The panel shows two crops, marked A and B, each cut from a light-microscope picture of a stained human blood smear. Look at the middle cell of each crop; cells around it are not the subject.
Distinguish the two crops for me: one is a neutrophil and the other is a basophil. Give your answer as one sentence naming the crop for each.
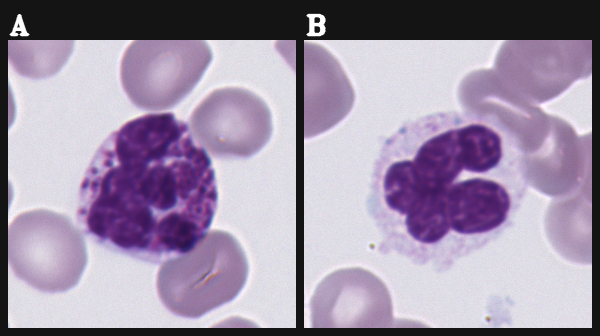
Crop A presents a basophil, and crop B presents a neutrophil.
